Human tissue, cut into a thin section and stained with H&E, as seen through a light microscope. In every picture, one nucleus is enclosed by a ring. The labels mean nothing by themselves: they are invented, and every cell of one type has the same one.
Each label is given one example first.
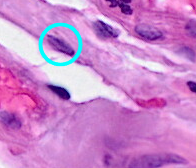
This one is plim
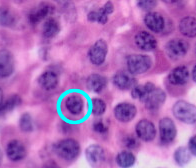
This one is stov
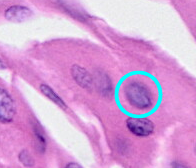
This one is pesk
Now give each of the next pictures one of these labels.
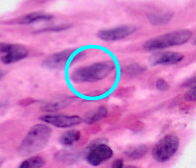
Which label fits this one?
plim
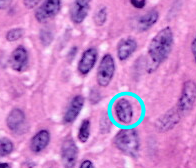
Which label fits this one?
pesk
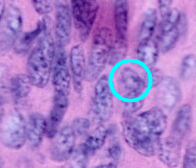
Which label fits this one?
pesk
